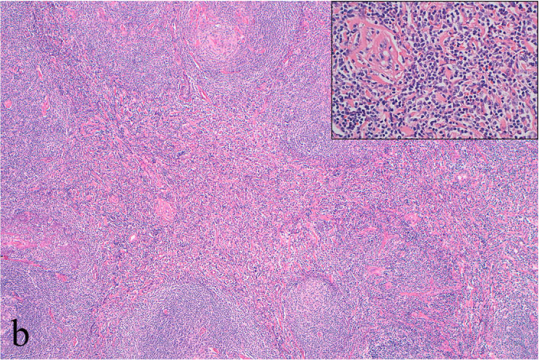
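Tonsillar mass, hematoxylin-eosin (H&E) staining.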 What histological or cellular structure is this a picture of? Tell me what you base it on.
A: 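Numerous small vessels with thick glassy pink walls lie between the follicles. The inset shows a vessel with a homogeneous pink wall among lymphocytes.
Answer: hyalinized venules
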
